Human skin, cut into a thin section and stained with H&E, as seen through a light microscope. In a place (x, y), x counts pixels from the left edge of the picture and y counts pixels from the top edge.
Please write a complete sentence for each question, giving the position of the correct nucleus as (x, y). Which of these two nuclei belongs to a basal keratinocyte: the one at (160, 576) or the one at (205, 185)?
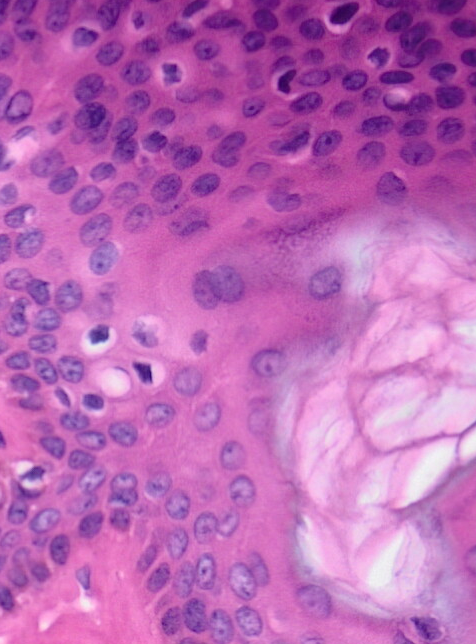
At (160, 576) lies the nucleus that belongs to a basal keratinocyte.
